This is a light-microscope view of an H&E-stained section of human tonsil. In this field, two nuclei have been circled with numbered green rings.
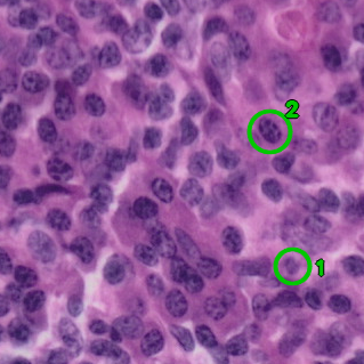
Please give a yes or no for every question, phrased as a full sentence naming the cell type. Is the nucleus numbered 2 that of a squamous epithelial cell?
No. Cell number 2 is a plasma cell, not a squamous epithelial cell.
